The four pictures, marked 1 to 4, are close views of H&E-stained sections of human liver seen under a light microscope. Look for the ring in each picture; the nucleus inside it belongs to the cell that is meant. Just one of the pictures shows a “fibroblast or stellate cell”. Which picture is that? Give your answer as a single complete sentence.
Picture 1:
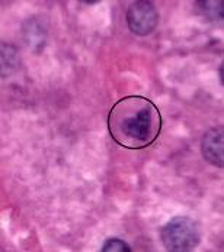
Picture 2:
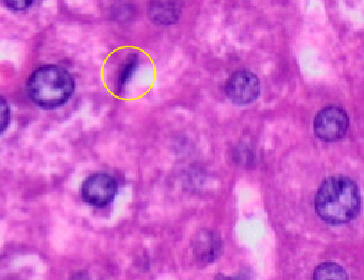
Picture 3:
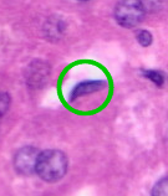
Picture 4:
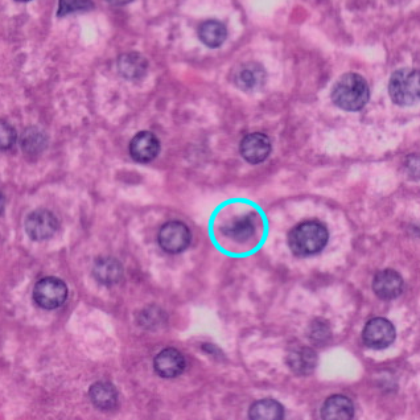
Picture 1 shows the “fibroblast or stellate cell”.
